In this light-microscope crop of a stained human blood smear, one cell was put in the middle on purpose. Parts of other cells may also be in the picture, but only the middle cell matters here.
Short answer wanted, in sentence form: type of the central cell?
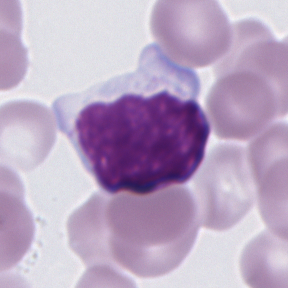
The centrally located cell in the crop is a large granular lymphocyte.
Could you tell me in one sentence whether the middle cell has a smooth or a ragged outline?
Along the periphery, ragged stretches or projections make the outline irregular.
